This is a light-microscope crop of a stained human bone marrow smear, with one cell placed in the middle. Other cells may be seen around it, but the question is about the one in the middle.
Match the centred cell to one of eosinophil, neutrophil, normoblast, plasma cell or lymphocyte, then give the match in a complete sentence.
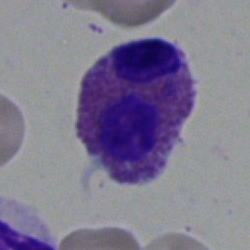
The centrally located cell in the crop is an eosinophil.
